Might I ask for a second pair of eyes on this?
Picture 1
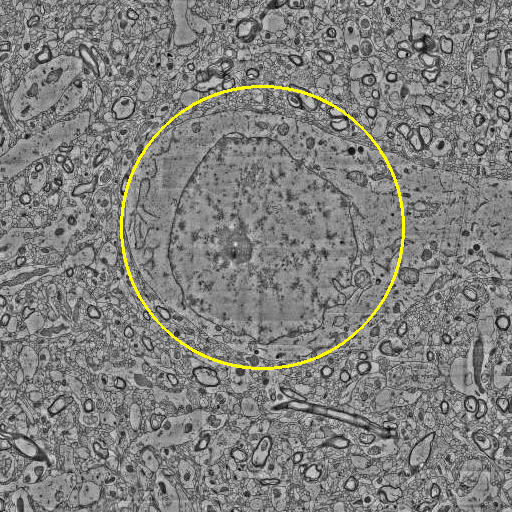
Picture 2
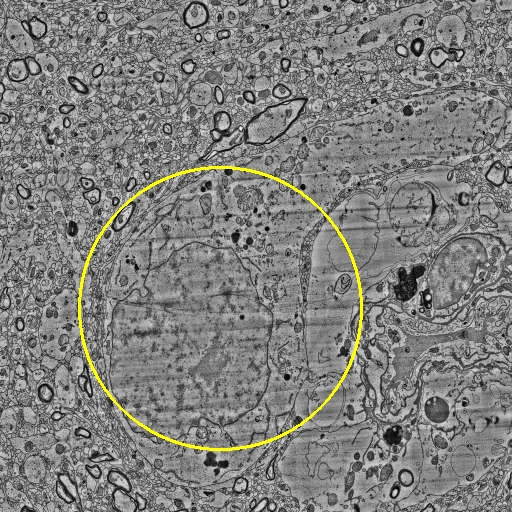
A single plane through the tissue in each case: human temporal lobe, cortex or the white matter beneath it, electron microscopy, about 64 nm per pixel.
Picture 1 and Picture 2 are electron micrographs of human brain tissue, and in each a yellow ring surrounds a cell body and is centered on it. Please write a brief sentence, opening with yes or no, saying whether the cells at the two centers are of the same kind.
Yes, the cells are of the same kind.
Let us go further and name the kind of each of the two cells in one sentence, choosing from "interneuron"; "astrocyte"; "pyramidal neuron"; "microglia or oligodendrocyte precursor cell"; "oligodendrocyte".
The second cell is a pyramidal neuron, just as the first is.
